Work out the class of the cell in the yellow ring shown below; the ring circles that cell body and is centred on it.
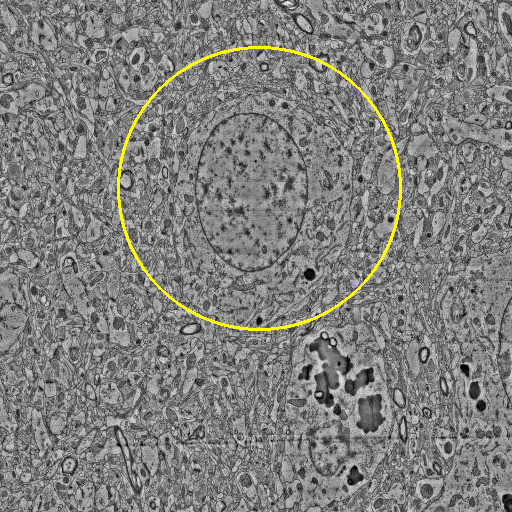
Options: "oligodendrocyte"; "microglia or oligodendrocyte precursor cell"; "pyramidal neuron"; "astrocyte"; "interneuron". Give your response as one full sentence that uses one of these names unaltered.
The body ringed in yellow, right at the ring's centre, is that of a pyramidal neuron.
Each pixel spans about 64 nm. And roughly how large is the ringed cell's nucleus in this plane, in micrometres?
The nucleus works out at approximately 10 by 7 micrometres in this plane.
